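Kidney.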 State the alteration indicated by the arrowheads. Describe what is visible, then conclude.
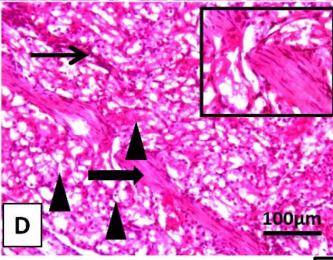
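Tubules beside the band have pale, vacuolated, frayed epithelium. Outlines of the tubular cells are indistinct. That points to this answer: degenerative and necrotic changes.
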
